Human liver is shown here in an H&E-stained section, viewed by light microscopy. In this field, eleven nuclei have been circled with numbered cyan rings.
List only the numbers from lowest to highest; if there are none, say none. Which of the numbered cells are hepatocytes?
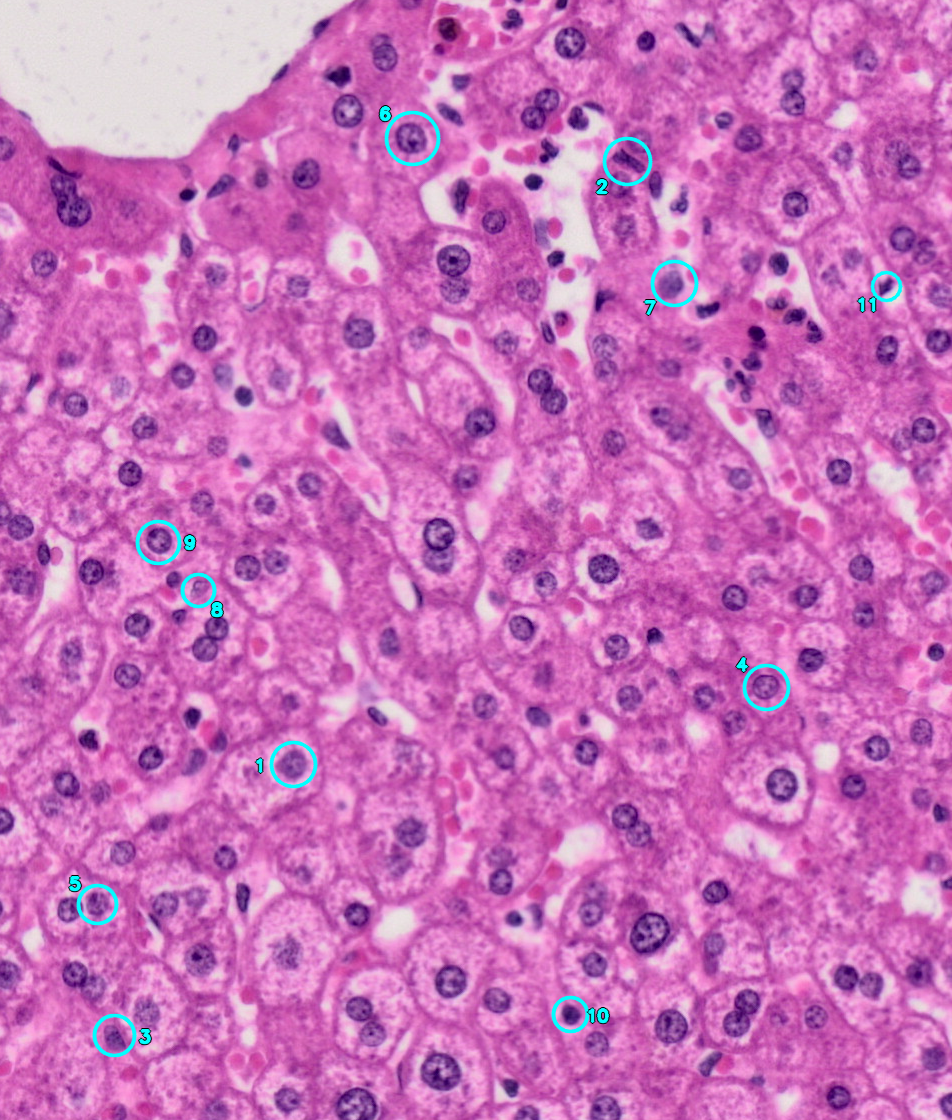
1, 4, 5, 6, 9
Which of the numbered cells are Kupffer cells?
8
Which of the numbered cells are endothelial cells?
3, 7, 11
